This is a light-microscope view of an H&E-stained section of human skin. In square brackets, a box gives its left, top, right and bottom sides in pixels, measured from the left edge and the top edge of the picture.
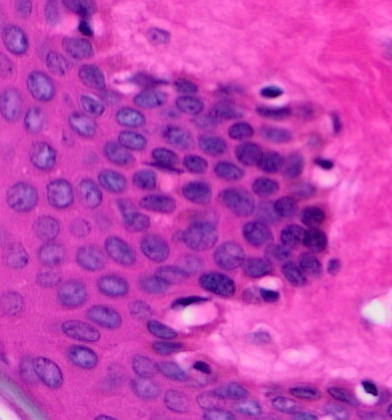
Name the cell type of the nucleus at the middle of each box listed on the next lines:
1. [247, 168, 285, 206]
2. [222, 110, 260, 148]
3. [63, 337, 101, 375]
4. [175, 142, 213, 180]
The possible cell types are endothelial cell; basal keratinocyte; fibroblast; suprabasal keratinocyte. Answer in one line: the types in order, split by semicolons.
basal keratinocyte; basal keratinocyte; suprabasal keratinocyte; basal keratinocyte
